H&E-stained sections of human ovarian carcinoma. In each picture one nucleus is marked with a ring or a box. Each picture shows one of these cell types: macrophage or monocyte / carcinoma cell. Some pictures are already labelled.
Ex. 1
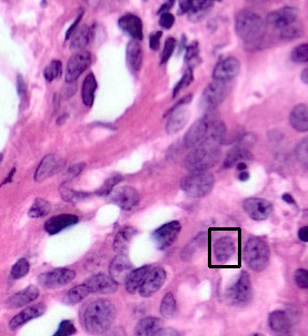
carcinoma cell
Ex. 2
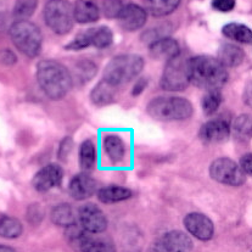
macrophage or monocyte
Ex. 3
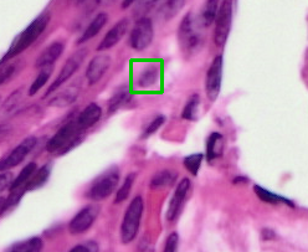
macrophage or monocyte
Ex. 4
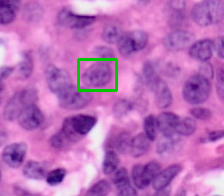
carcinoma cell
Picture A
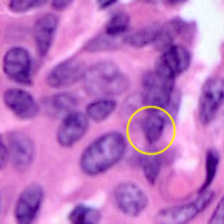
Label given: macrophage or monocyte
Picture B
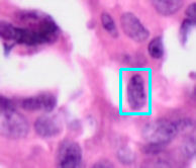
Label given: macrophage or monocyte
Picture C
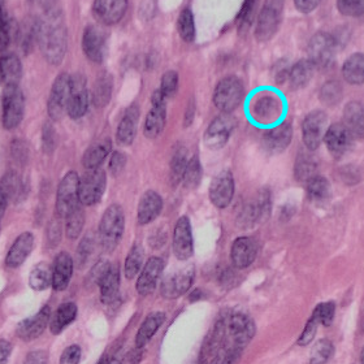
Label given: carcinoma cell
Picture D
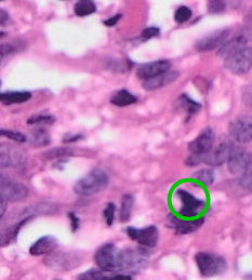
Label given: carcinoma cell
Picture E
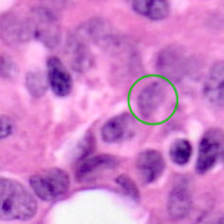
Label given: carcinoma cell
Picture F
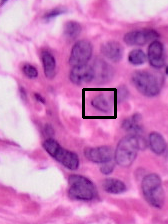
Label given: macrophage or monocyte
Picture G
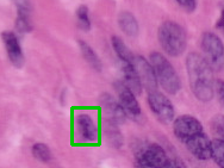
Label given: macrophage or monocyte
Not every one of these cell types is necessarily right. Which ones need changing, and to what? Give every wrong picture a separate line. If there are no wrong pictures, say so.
A should be carcinoma cell, not macrophage or monocyte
